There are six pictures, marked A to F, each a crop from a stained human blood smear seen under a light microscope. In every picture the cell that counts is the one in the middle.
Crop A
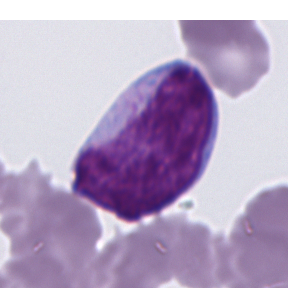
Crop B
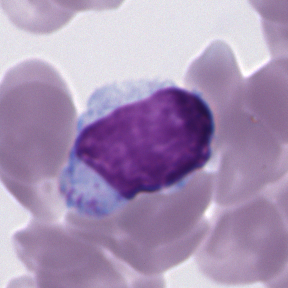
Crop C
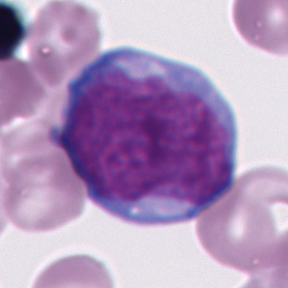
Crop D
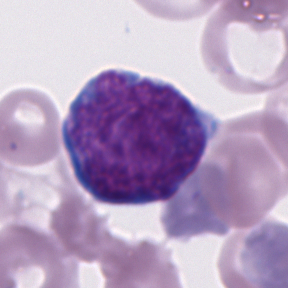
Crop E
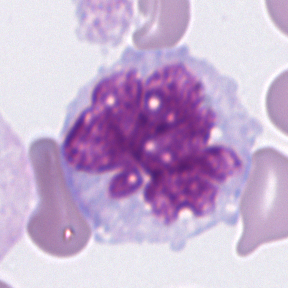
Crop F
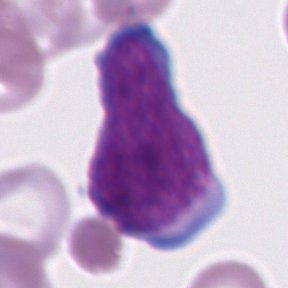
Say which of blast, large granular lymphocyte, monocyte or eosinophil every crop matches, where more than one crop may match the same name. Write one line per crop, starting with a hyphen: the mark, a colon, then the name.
- A: blast
- B: large granular lymphocyte
- C: blast
- D: blast
- E: monocyte
- F: blast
